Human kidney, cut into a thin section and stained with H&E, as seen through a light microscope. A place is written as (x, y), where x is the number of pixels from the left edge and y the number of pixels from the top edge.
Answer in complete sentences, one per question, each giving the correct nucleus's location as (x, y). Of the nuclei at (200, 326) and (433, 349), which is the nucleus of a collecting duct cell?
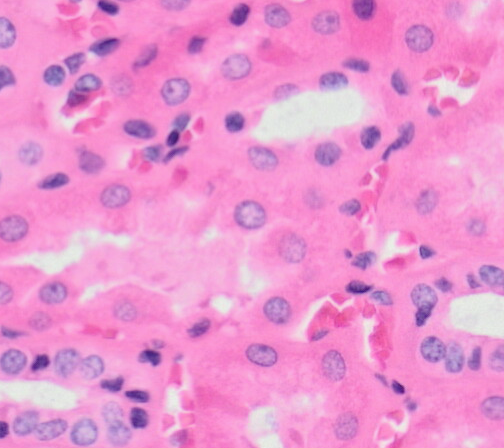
The nucleus situated at (433, 349) is the one belonging to a collecting duct cell.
